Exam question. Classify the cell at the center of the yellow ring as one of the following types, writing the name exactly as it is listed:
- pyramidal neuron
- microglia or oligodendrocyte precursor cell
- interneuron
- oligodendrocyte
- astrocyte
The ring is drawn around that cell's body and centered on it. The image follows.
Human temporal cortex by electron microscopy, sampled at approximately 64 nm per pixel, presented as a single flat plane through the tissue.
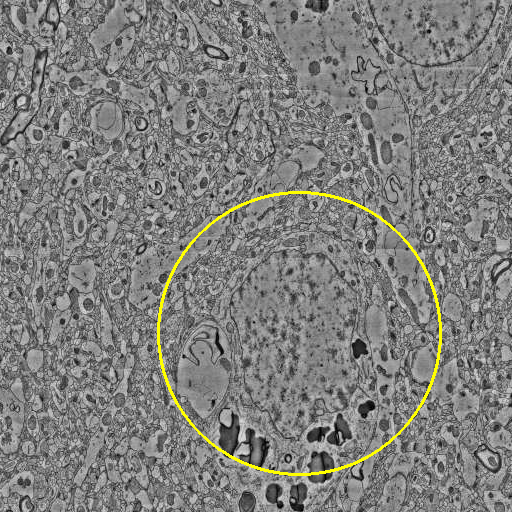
microglia or oligodendrocyte precursor cell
